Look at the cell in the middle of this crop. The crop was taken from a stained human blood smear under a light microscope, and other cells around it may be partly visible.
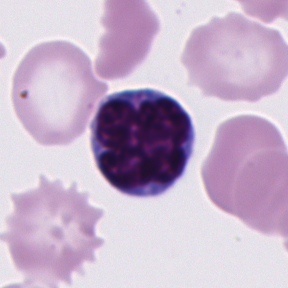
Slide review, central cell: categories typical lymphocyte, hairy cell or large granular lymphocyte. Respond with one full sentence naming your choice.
The cell positioned in the middle of the field is a typical lymphocyte.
